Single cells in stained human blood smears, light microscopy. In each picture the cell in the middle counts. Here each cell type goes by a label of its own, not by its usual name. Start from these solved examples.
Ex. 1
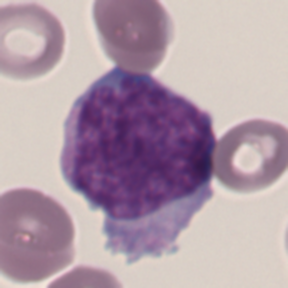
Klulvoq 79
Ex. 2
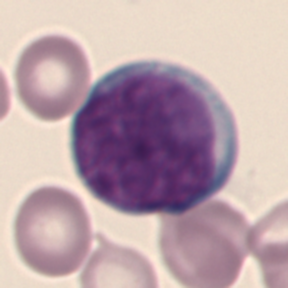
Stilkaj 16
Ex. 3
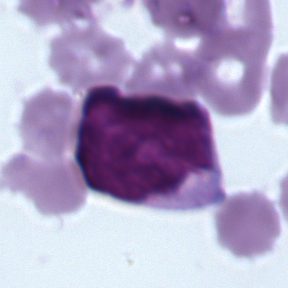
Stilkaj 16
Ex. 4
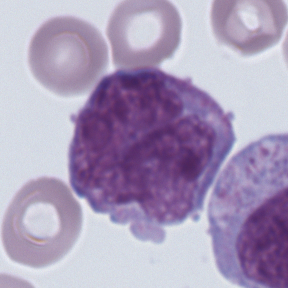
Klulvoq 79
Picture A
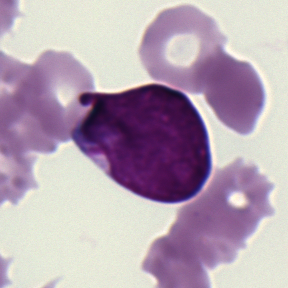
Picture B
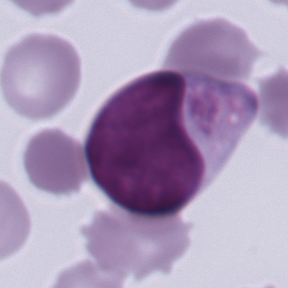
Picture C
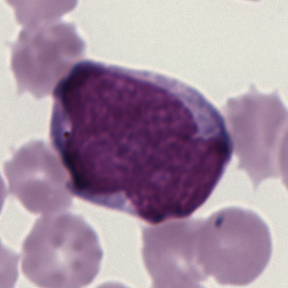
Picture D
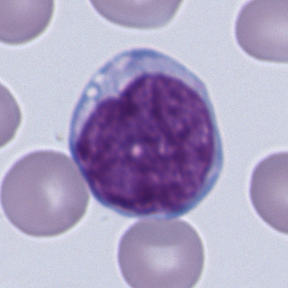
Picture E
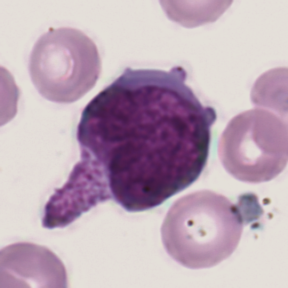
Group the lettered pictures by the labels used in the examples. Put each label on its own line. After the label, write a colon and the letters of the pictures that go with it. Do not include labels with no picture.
Klulvoq 79: E
Stilkaj 16: A, B, C, D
